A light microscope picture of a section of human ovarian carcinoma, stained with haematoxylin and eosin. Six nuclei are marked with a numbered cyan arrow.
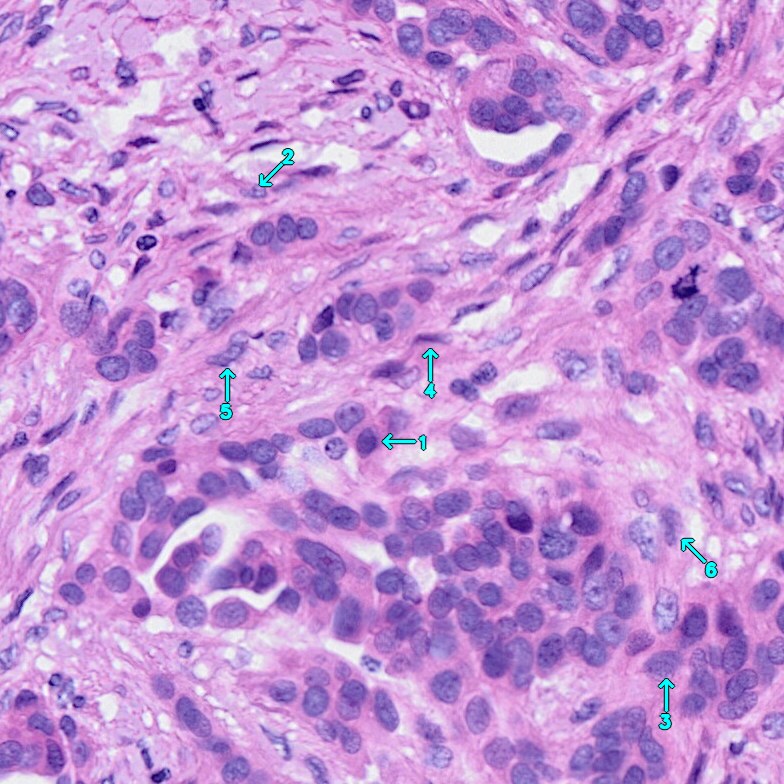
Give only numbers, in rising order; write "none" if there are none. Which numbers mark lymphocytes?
none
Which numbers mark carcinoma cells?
1, 3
